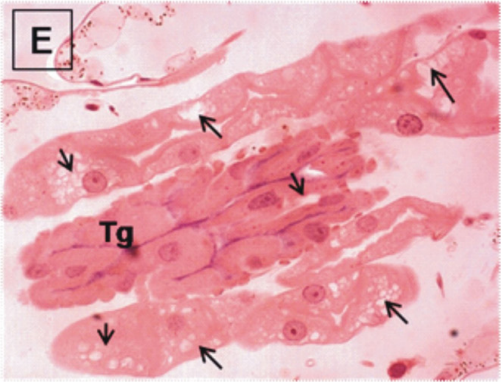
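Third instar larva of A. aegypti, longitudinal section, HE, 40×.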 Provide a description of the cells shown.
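Several elongated Malpighian tubules lie side by side, built of large cells with pale pink cytoplasm. The cytoplasm is riddled with many small clear vacuoles and irregular clear spaces, and thin purple streaks run along the middle of the tubules.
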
